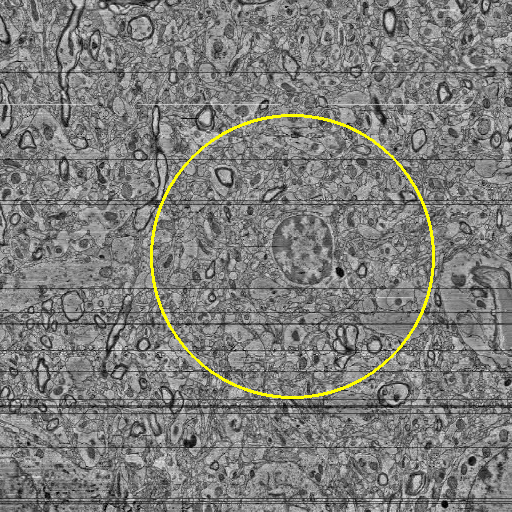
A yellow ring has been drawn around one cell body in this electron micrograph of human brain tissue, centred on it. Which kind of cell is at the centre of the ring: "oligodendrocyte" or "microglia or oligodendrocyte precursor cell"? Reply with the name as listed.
microglia or oligodendrocyte precursor cell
